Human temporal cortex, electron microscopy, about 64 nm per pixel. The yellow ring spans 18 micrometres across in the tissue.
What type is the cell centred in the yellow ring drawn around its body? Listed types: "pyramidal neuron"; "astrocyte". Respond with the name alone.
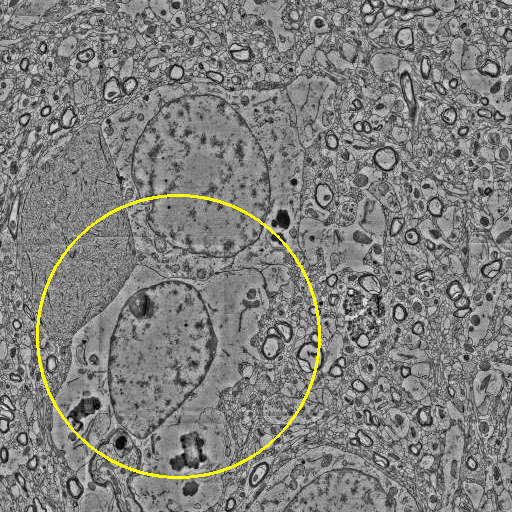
astrocyte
